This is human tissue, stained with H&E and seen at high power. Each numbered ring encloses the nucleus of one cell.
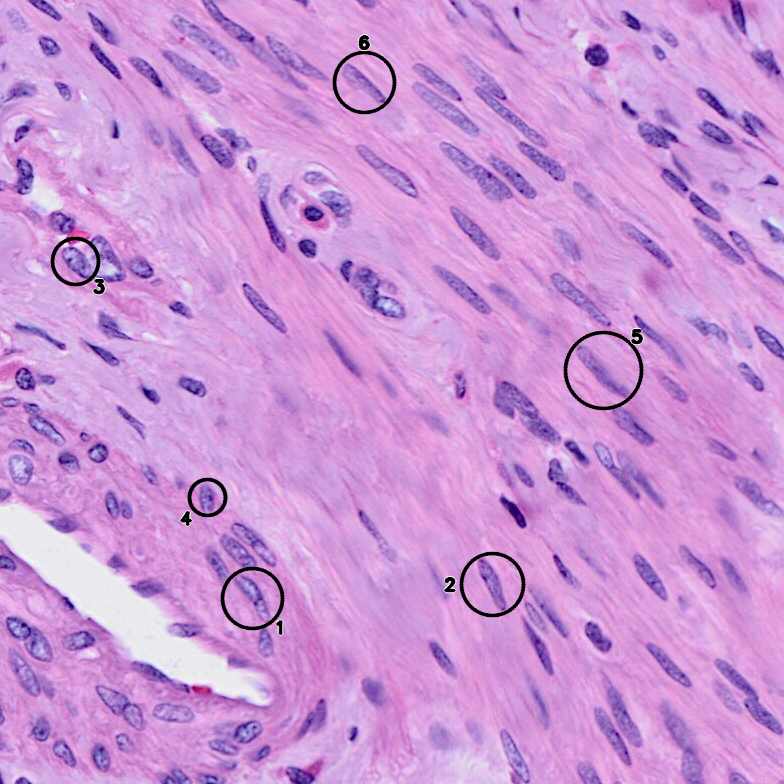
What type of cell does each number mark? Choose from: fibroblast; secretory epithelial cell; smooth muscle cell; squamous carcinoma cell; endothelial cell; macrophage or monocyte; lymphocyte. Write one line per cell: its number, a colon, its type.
1: smooth muscle cell
2: fibroblast
3: endothelial cell
4: smooth muscle cell
5: smooth muscle cell
6: fibroblast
